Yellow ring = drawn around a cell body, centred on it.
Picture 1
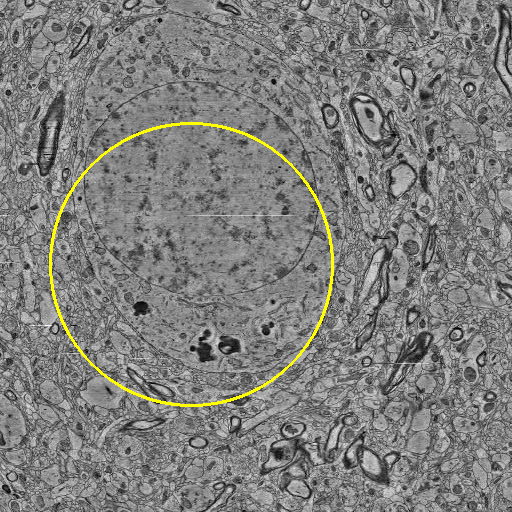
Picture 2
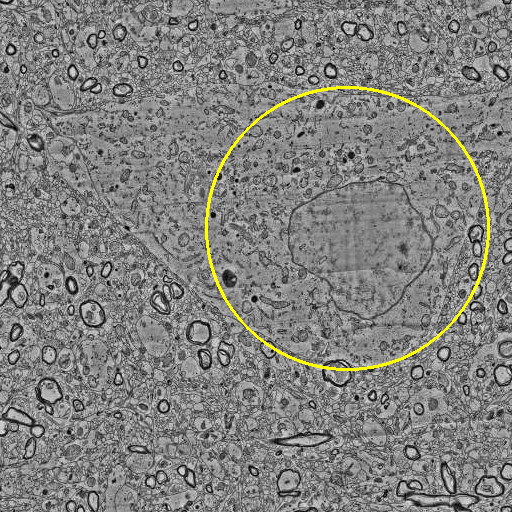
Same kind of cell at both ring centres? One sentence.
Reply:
Yes, they are the same kind of cell.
